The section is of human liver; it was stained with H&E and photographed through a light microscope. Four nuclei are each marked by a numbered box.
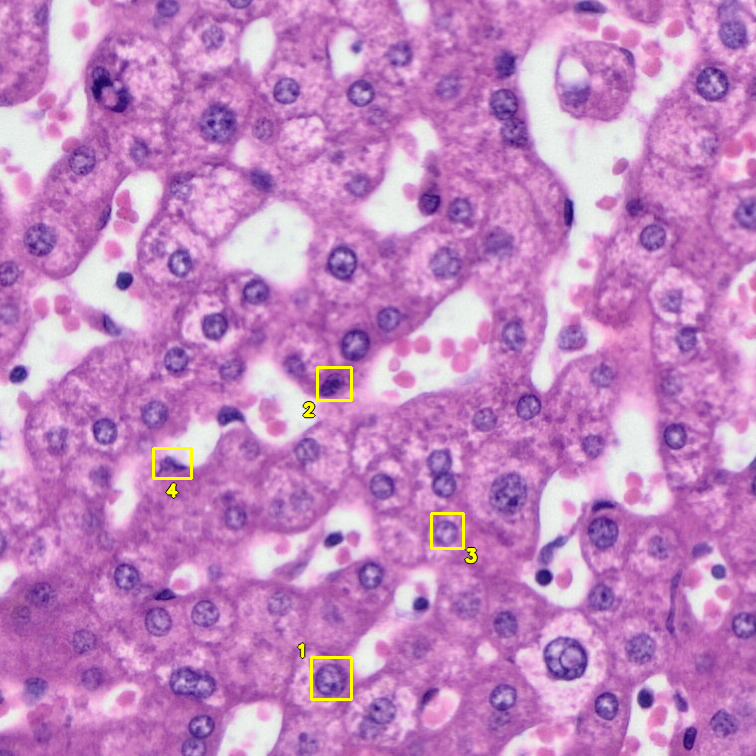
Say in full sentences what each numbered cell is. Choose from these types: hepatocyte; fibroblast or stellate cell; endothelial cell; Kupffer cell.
Cell 1 is a hepatocyte, cell 2 is a fibroblast or stellate cell, cell 3 is a hepatocyte and cell 4 is an endothelial cell.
